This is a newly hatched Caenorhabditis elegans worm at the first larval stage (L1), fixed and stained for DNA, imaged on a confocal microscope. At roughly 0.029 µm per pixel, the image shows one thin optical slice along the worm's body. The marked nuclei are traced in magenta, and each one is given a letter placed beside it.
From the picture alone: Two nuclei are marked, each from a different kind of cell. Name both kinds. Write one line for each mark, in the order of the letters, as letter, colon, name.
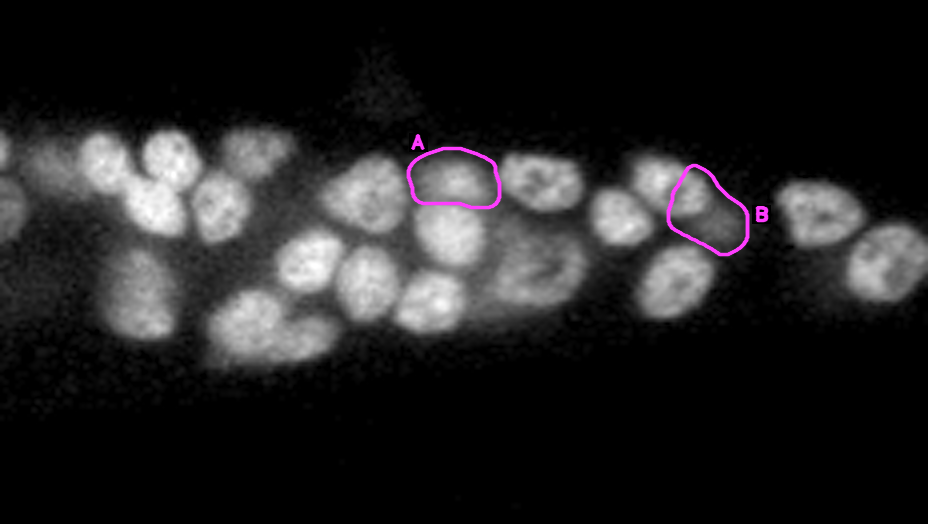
A: body wall muscle cell
B: hypodermal cell (hyp)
